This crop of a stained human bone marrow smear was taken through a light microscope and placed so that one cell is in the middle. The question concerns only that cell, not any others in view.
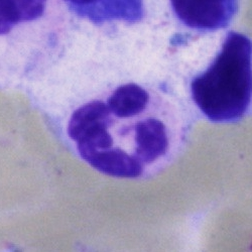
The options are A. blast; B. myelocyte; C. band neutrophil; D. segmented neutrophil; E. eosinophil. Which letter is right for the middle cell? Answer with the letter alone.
D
